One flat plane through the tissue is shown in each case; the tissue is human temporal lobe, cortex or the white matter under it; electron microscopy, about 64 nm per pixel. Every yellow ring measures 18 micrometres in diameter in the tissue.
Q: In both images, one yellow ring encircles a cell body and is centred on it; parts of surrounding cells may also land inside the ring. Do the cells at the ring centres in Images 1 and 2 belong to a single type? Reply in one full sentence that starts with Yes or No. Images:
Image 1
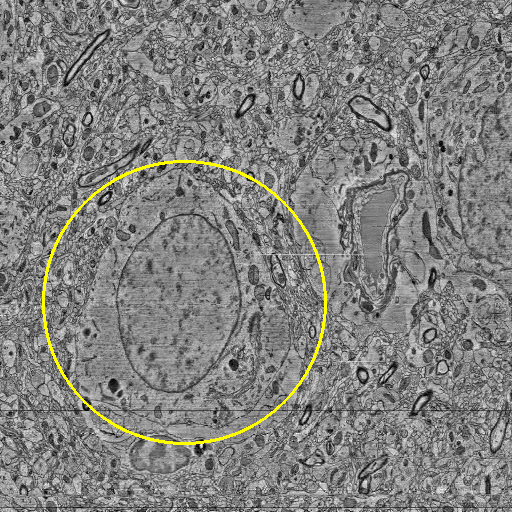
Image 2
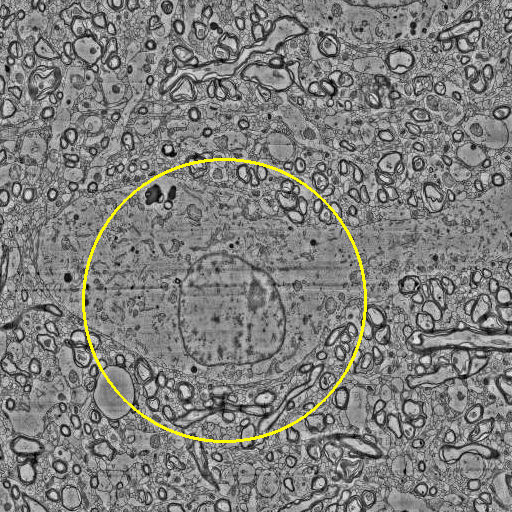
Yes, the cells at the ring centres in Images 1 and 2 are of a single type.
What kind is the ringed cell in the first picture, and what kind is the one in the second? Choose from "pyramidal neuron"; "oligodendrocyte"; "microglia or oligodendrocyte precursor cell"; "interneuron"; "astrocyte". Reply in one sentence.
The first and the second cell are each a pyramidal neuron.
